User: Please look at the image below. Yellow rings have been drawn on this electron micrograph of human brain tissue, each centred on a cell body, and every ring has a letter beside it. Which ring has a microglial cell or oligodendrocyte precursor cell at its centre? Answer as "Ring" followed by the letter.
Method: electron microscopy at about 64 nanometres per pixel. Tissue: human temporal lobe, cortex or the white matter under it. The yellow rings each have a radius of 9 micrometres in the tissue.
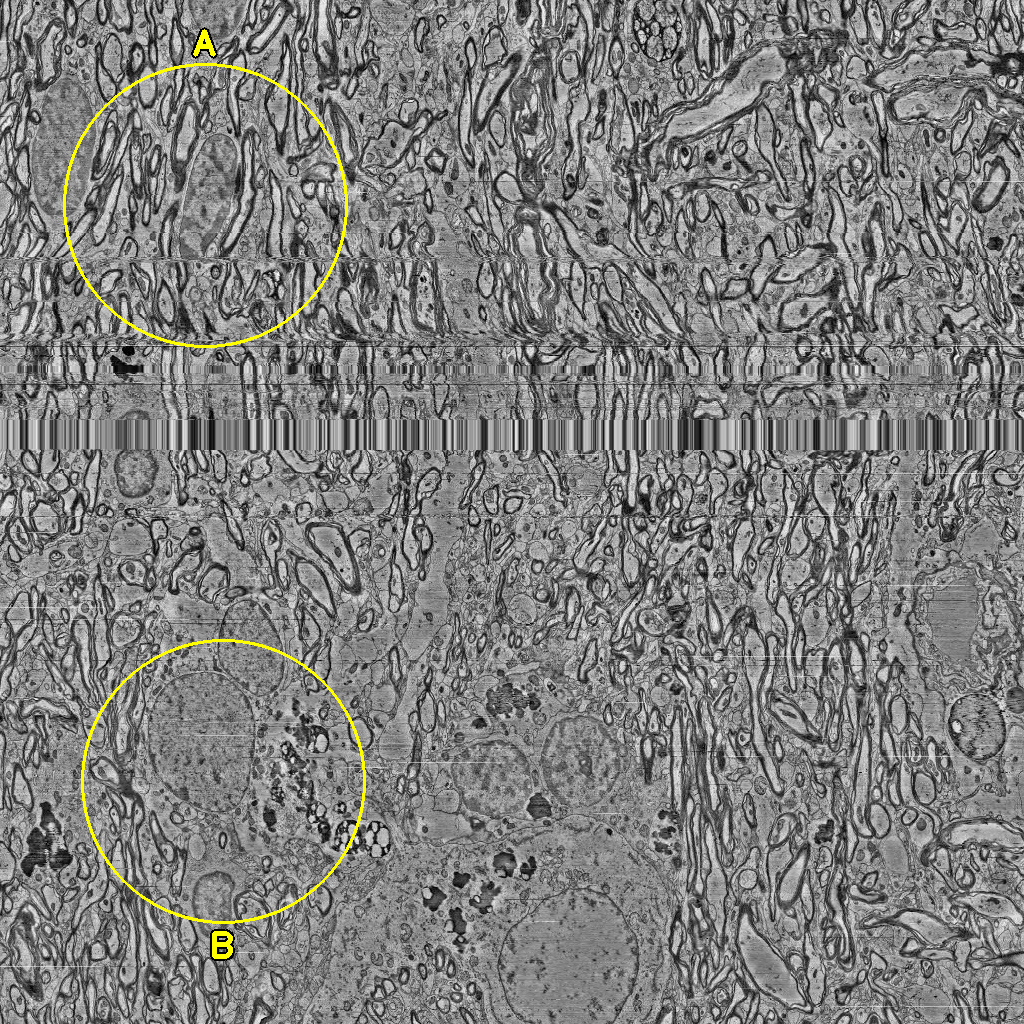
Ring A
